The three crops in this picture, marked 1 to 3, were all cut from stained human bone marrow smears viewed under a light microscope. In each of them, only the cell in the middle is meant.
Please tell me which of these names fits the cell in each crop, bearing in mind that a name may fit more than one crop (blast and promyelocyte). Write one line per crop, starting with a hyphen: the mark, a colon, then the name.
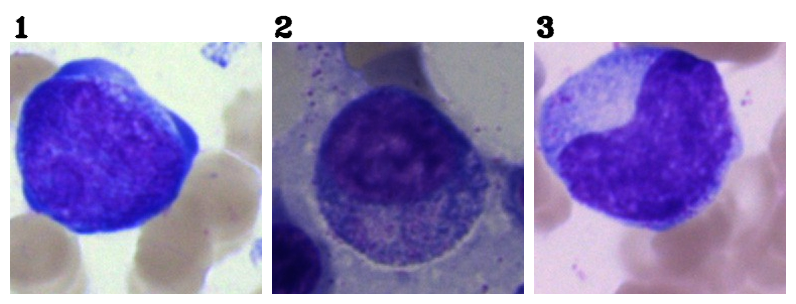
- 1: blast
- 2: promyelocyte
- 3: promyelocyte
